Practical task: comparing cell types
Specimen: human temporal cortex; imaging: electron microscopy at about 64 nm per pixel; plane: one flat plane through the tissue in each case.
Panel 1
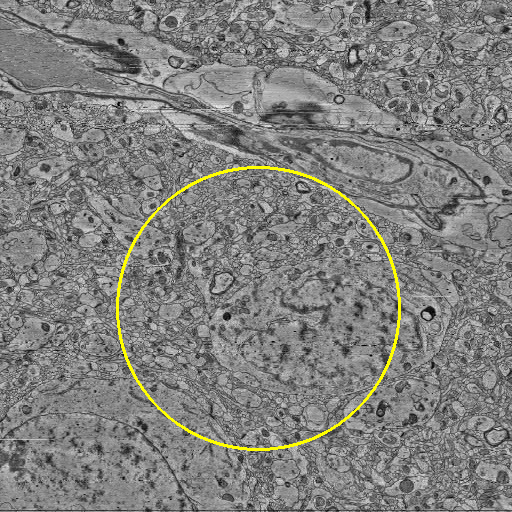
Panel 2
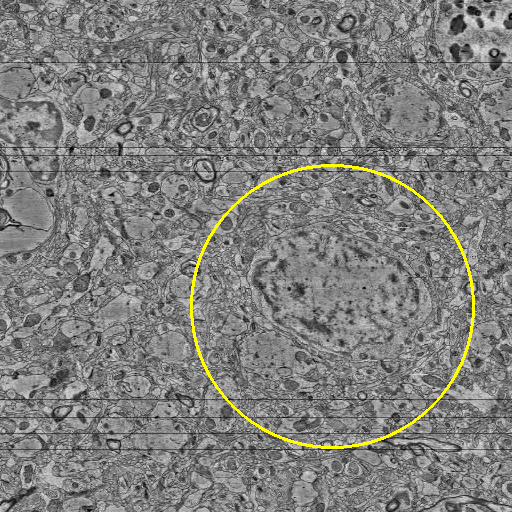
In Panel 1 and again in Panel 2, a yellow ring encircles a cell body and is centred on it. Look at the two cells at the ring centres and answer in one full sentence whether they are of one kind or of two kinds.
The two cells sitting at the ring centres of Panels 1 and 2 are of one kind.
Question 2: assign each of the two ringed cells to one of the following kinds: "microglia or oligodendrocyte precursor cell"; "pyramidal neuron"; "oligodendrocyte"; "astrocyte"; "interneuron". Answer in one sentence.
Both cells are the same kind, each one being an interneuron.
